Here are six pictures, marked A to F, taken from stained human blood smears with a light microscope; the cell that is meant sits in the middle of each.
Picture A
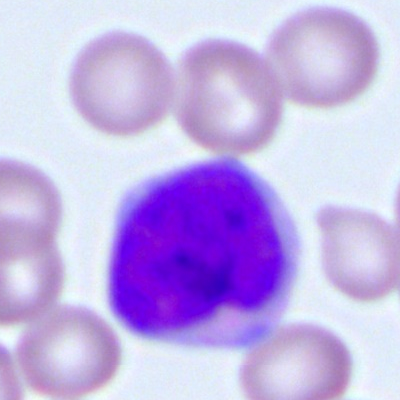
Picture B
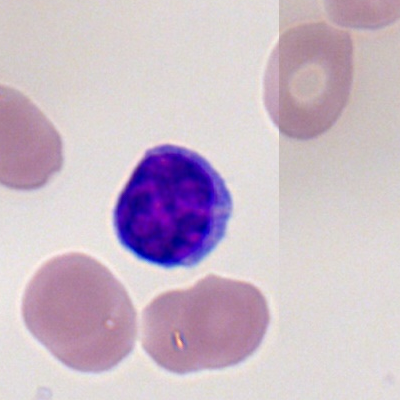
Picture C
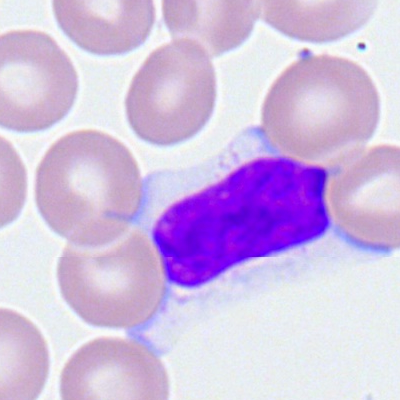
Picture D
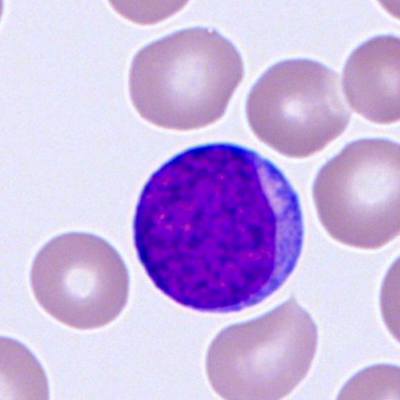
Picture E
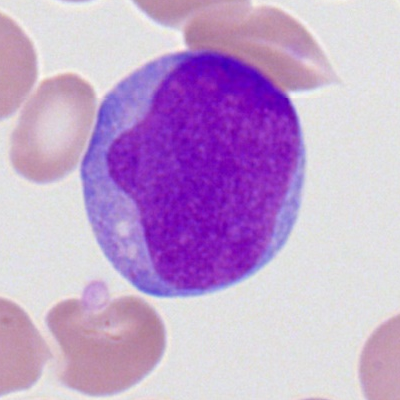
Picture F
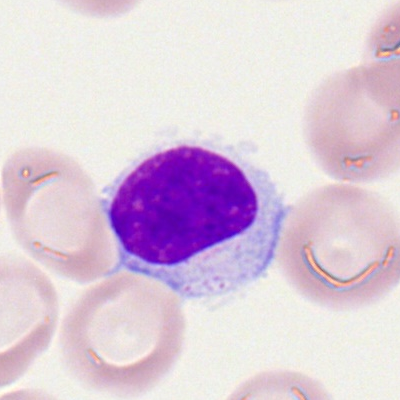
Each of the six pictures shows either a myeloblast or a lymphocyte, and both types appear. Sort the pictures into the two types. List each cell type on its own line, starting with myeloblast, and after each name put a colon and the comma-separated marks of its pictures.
myeloblast: A, D, E
lymphocyte: B, C, F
